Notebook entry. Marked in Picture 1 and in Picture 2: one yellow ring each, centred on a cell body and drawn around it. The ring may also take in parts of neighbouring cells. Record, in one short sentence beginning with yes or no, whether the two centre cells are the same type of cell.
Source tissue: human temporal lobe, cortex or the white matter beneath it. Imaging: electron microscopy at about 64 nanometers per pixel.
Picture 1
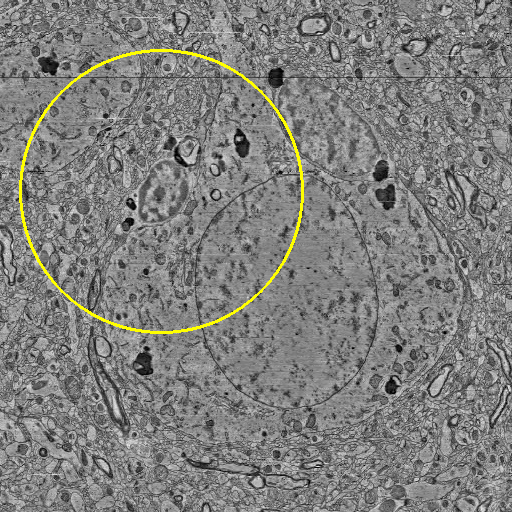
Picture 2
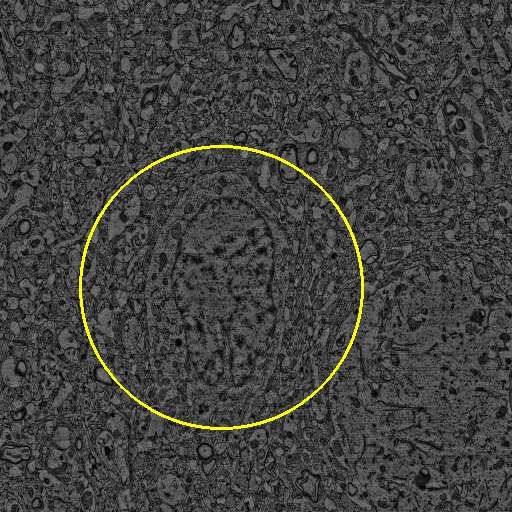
No, they are two types of cell.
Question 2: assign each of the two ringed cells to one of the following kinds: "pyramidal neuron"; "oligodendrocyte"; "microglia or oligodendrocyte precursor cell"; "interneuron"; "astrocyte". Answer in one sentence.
The two cells are a microglial cell or oligodendrocyte precursor cell in the first picture and an interneuron in the second.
